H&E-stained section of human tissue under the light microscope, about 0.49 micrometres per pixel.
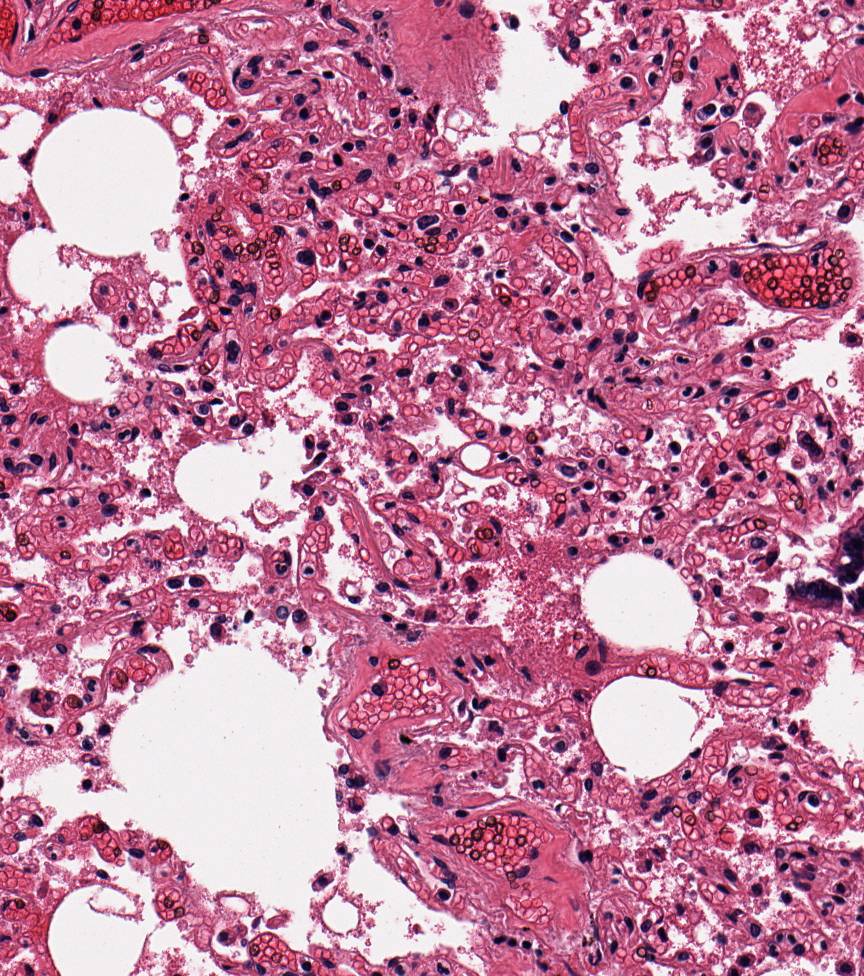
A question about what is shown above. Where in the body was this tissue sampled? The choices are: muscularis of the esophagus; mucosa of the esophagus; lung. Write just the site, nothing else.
lung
